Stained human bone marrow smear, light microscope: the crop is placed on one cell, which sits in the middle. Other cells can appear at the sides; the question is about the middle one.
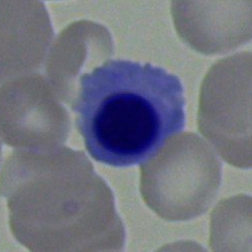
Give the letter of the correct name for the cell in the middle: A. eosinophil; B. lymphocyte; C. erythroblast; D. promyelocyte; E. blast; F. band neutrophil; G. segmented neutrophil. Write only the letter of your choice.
C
